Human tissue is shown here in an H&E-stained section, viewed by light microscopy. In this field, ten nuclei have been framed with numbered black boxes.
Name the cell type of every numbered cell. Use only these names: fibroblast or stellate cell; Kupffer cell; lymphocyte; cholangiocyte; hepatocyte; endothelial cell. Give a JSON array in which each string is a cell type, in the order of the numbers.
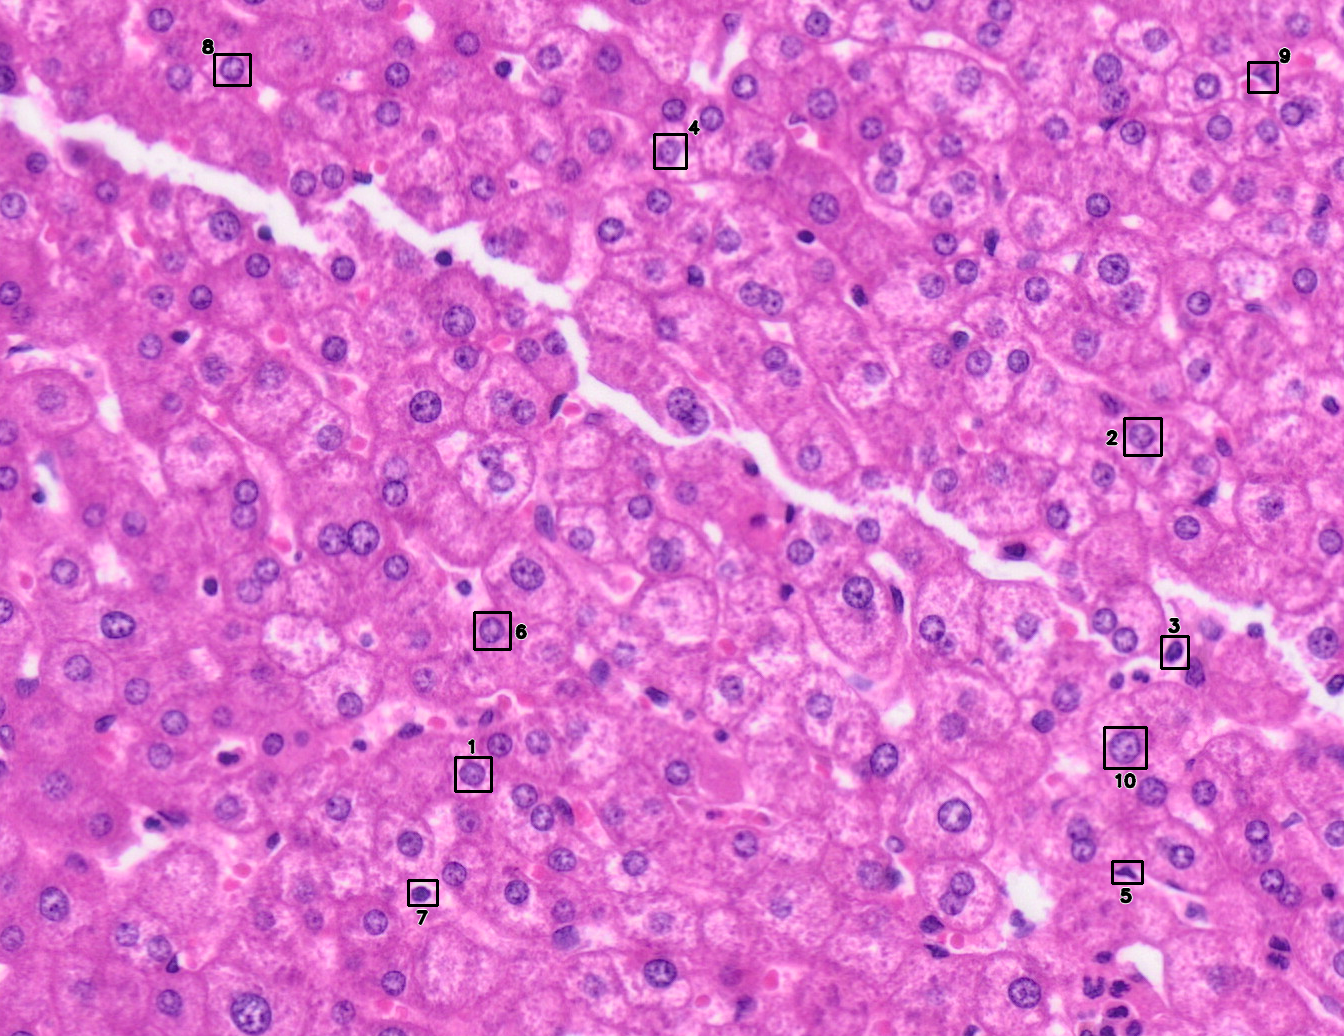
["hepatocyte", "hepatocyte", "lymphocyte", "hepatocyte", "endothelial cell", "hepatocyte", "lymphocyte", "hepatocyte", "endothelial cell", "hepatocyte"]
